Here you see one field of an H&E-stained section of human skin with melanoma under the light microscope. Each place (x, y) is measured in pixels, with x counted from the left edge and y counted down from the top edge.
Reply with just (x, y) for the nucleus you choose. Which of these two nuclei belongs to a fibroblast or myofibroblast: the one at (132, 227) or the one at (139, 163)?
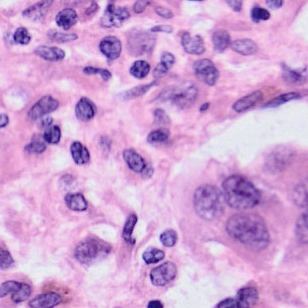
(132, 227)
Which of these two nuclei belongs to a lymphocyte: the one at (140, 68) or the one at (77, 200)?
(140, 68)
